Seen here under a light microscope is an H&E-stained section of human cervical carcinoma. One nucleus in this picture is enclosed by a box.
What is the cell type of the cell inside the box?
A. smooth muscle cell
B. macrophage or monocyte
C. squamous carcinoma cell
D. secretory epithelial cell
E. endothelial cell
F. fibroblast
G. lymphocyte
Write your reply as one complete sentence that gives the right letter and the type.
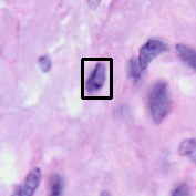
The correct response is option F: the cell inside the box is a fibroblast.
